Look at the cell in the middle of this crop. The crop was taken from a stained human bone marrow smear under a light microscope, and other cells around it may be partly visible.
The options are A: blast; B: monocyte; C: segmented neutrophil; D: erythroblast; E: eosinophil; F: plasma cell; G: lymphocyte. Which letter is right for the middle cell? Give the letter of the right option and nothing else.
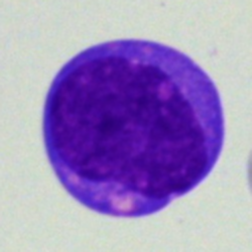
A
